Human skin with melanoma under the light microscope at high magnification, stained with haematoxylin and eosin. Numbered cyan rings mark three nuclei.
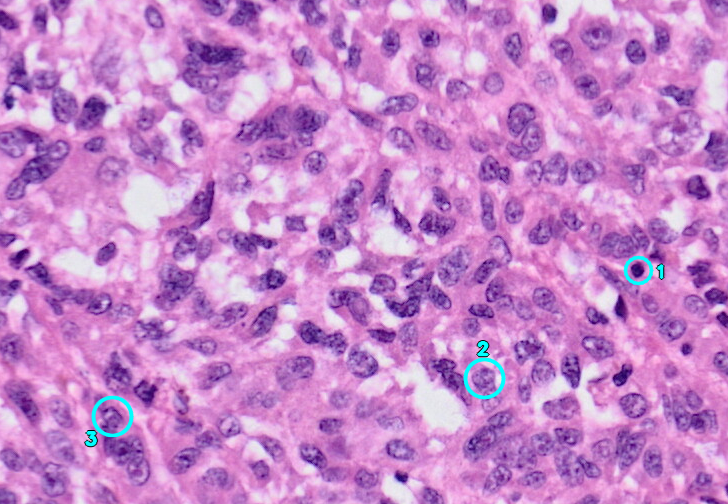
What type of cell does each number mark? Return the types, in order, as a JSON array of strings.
["lymphocyte", "melanoma cell", "melanoma cell"]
